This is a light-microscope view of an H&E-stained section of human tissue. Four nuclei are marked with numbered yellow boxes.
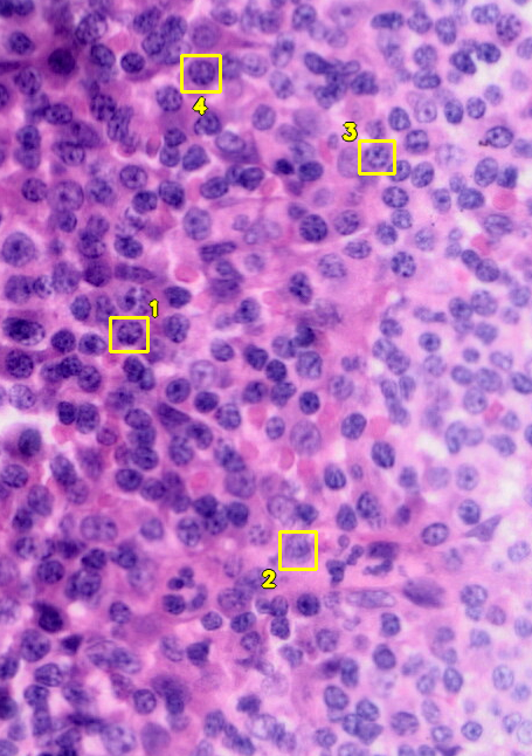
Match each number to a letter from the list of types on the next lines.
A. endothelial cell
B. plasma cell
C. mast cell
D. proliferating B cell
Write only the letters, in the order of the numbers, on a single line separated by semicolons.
B; A; B; B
